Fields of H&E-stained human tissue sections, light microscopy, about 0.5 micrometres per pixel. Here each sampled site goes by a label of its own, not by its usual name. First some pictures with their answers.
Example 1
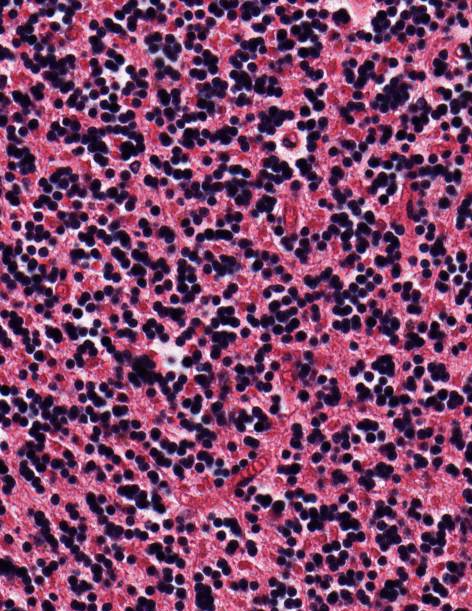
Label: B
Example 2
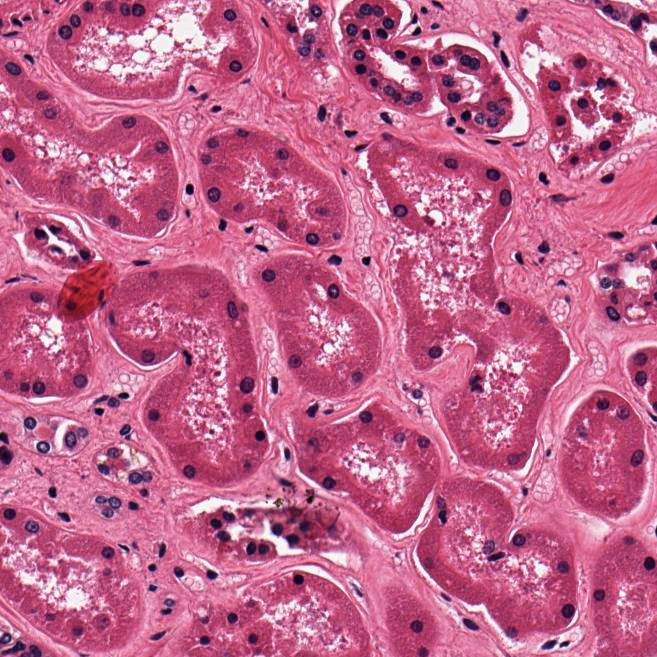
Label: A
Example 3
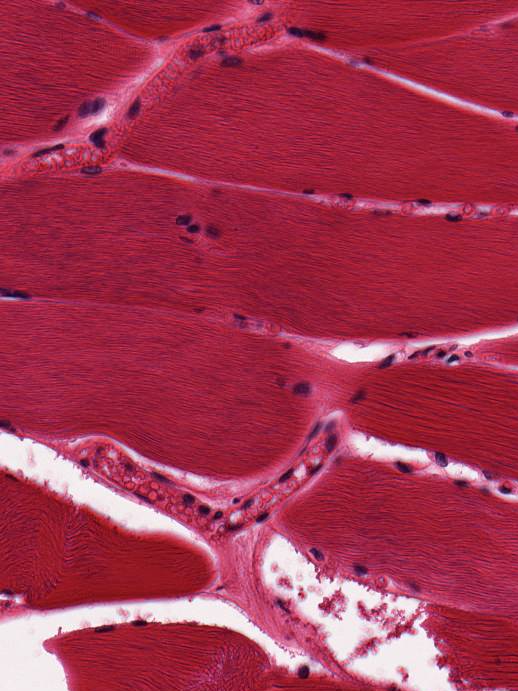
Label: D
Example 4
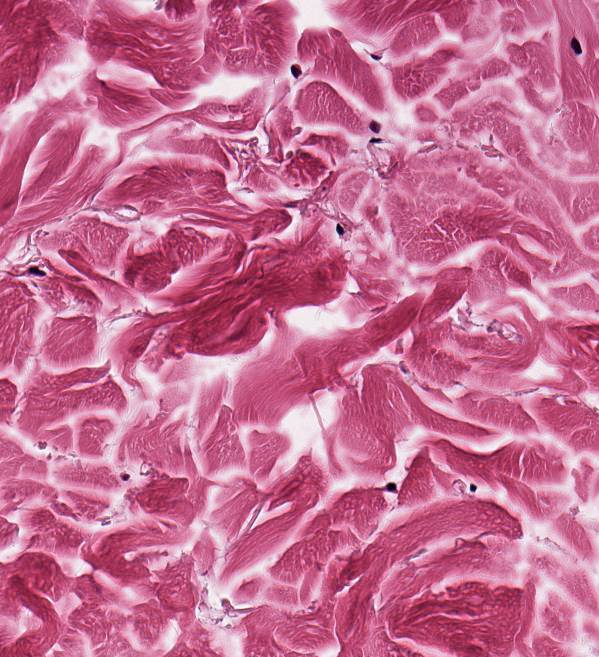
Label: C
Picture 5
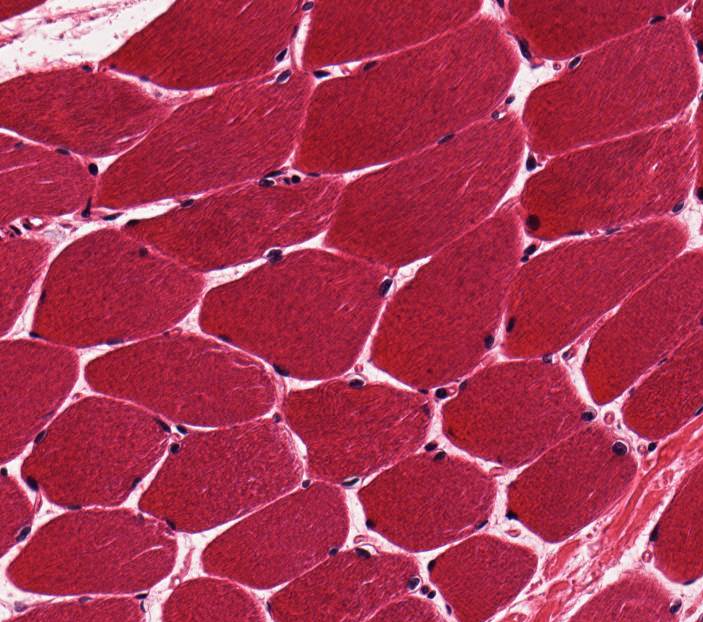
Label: D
